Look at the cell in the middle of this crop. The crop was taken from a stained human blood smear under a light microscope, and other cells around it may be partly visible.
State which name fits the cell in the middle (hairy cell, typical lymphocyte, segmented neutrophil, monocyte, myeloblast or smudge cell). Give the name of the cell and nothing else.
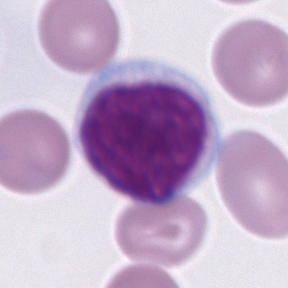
typical lymphocyte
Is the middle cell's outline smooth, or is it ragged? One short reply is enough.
The cell shows a smooth outline that lacks any surface projections.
